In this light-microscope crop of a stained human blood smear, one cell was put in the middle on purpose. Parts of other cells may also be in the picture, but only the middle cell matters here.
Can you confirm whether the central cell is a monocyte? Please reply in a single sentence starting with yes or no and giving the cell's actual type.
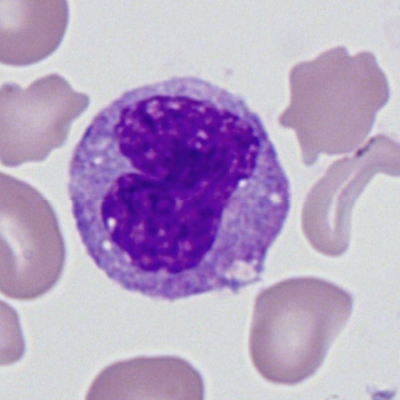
Yes, the cell in the center of the field is a monocyte.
